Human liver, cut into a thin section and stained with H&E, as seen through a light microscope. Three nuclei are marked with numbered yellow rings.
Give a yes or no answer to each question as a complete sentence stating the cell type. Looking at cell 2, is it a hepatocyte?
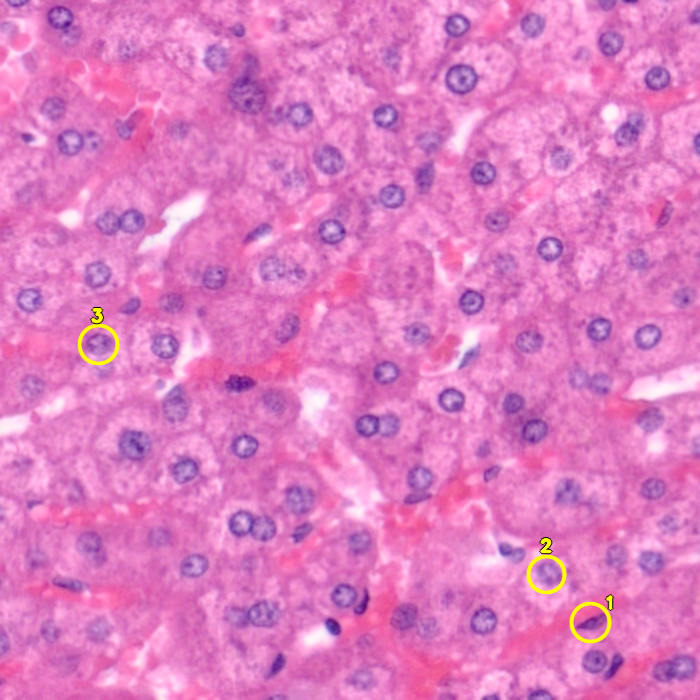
Yes, in the section, number 2 is a hepatocyte.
